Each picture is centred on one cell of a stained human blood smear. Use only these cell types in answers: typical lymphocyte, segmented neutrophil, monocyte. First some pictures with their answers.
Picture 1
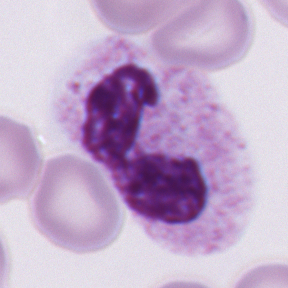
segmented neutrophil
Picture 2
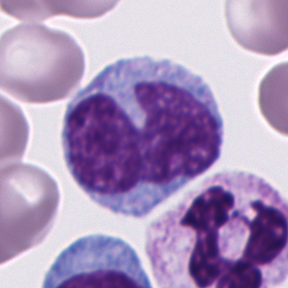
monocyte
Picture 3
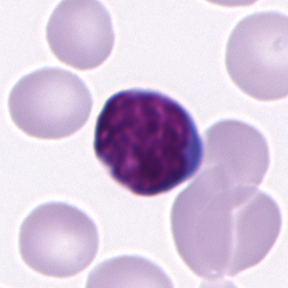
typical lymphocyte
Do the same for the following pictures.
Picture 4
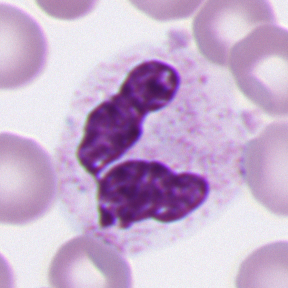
segmented neutrophil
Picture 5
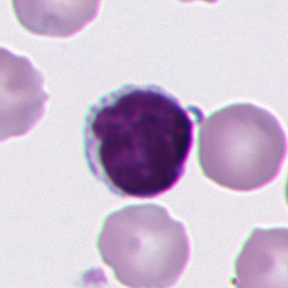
typical lymphocyte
